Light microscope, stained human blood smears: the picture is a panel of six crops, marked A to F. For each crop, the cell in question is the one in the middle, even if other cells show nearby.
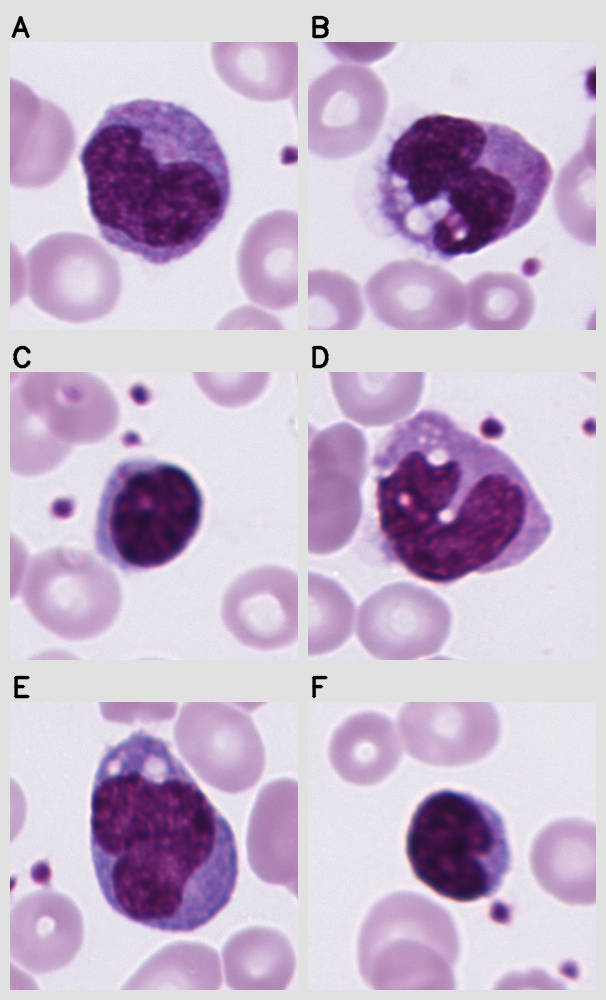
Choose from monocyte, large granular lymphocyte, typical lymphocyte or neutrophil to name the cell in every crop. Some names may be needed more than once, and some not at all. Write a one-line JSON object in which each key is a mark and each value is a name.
{"A": "monocyte", "B": "monocyte", "C": "typical lymphocyte", "D": "monocyte", "E": "monocyte", "F": "typical lymphocyte"}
